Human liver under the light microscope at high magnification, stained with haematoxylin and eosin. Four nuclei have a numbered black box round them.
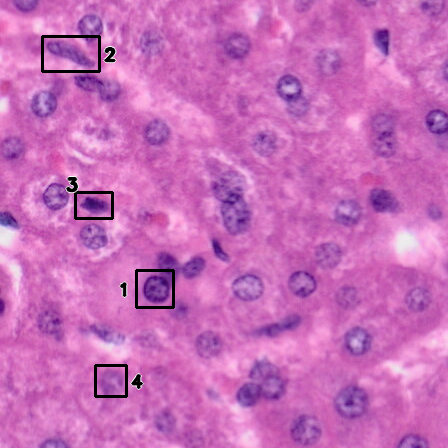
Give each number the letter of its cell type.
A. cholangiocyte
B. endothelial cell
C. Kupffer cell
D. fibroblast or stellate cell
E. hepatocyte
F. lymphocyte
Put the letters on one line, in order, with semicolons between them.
E; C; D; E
